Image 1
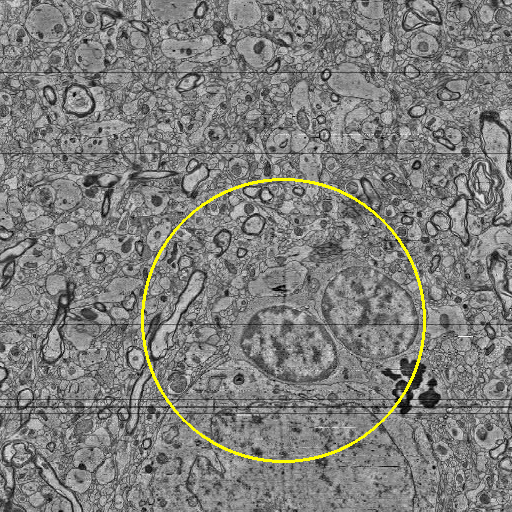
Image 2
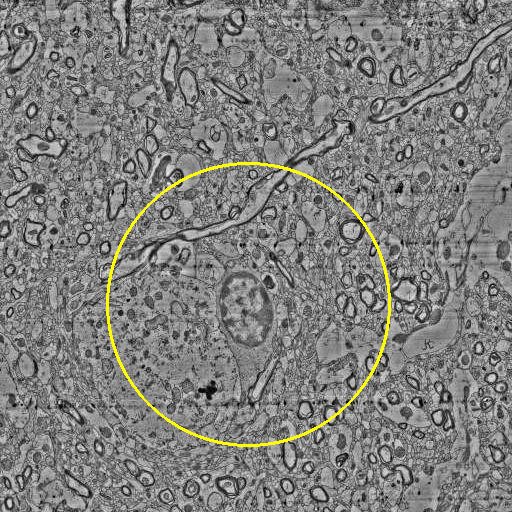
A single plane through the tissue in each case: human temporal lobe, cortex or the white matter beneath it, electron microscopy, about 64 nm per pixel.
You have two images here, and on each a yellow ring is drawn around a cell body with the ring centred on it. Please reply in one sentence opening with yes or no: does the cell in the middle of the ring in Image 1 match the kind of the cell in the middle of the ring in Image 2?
Yes, the two images show cells of one kind at the centres of their rings.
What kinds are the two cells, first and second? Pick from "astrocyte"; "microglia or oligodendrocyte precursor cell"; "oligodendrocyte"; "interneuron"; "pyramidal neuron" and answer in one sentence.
The cell in the first picture is an oligodendrocyte, and so is the one in the second.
